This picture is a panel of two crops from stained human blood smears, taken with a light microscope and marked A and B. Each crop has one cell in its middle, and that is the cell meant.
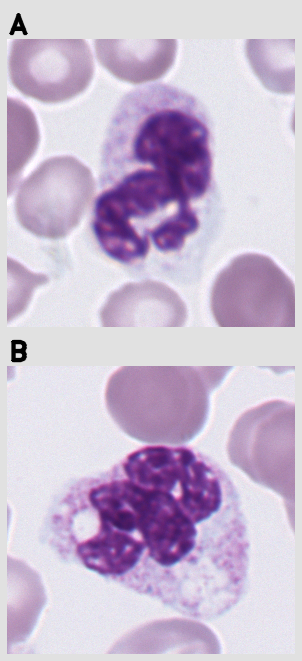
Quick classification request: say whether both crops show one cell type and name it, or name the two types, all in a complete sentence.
Yes, both crops show segmented neutrophils, and the two match.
